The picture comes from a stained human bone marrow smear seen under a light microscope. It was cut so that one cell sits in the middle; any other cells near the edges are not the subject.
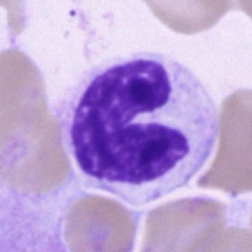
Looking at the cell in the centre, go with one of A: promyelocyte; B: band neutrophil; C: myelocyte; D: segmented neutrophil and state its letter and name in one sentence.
Correctly, option B names the cell in the middle a band neutrophil.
